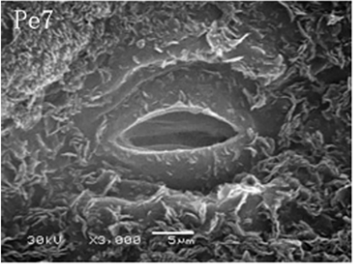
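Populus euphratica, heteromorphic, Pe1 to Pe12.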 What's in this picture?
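A single stoma on the leaf epidermis viewed from above. Two curved guard cells lie side by side around a horizontal, spindle-shaped pore that appears as a narrow dark slit with a raised lip along its margins.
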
